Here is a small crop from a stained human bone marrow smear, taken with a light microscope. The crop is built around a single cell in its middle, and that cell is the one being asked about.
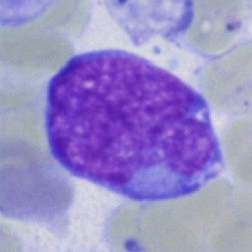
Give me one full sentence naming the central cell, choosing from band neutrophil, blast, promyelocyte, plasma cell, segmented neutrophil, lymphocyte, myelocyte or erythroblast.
The middle cell in this particular crop is a blast.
